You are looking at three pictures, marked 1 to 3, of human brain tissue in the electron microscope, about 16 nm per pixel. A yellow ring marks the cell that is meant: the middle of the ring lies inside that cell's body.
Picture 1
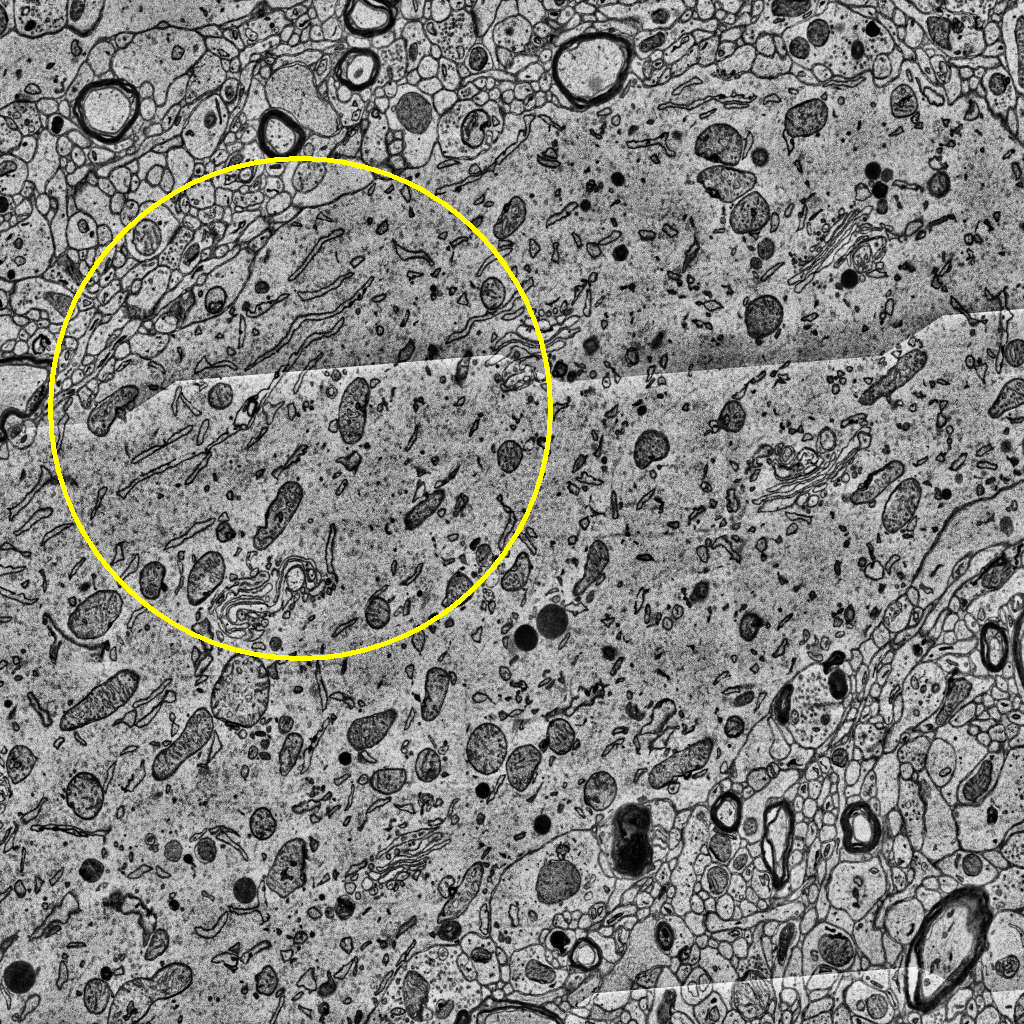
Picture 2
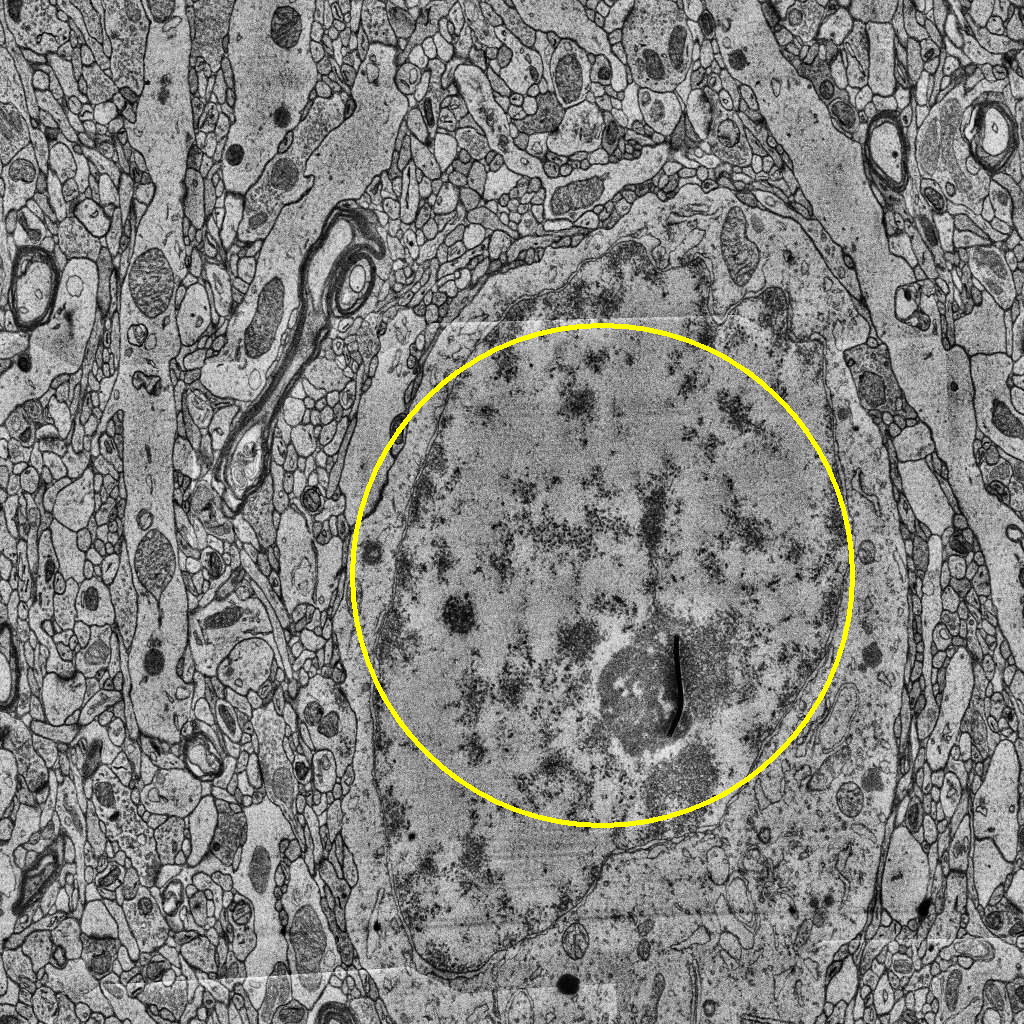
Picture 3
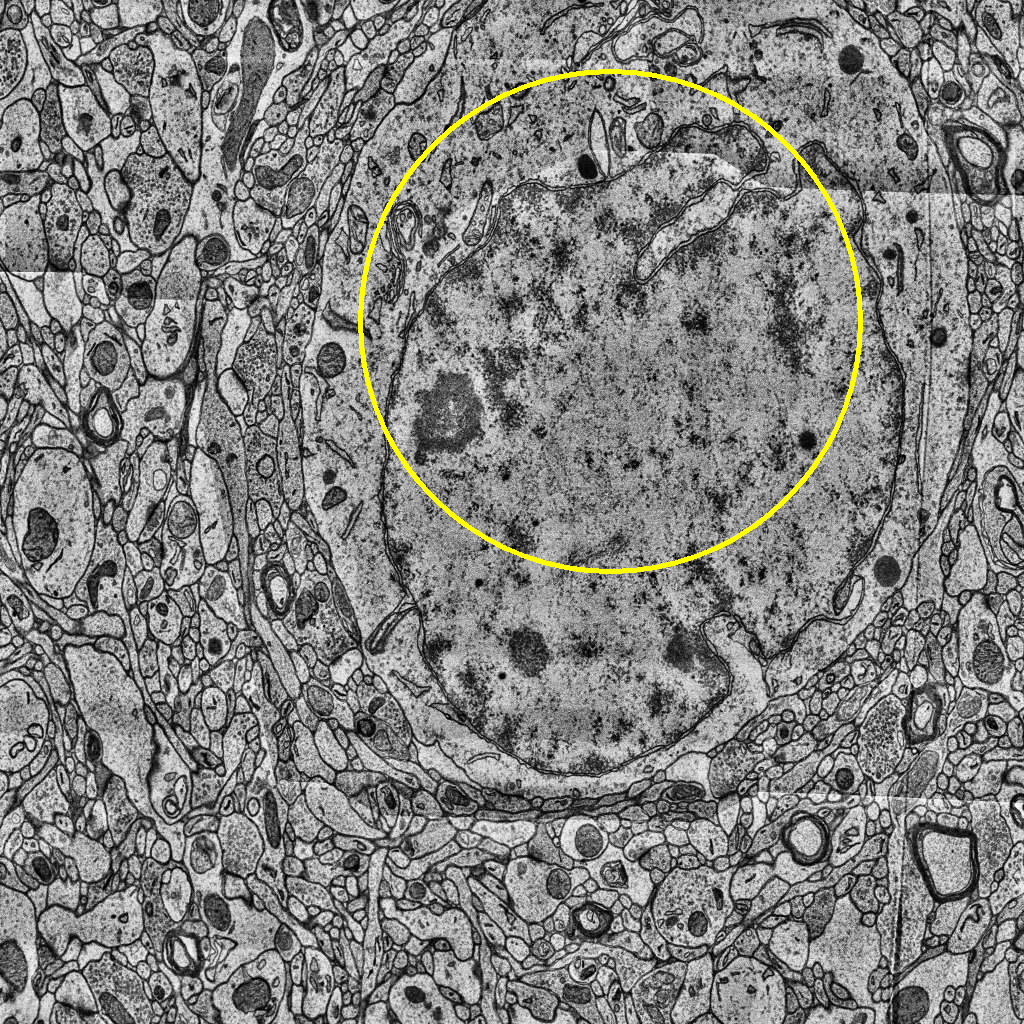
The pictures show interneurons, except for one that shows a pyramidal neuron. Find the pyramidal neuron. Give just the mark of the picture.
1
